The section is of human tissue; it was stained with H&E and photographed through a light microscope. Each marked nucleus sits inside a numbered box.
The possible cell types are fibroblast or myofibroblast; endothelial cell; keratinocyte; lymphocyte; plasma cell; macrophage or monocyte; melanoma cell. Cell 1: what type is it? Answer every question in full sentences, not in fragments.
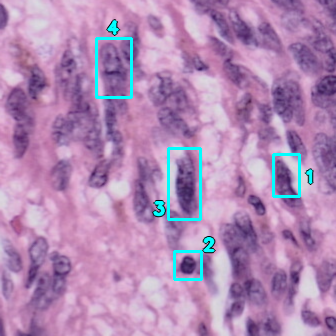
The cell identified by the number 1 is a melanoma cell.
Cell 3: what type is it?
Corresponding to a melanoma cell is the cell labelled 3.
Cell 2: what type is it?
The cell referred to as 2 is a lymphocyte.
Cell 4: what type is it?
Here, the cell given the number 4 is a melanoma cell.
